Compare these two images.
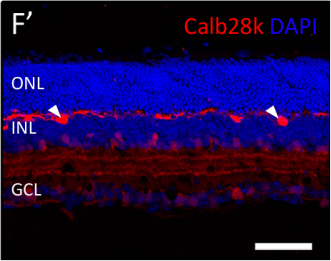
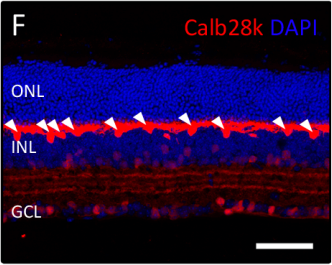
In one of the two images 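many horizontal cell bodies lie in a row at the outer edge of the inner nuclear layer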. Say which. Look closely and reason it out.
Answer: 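First image: only two red cell bodies are marked along the outer edge of the inner nuclear layer. Second image: about a dozen red cell bodies are spaced along the outer edge of the inner nuclear layer.
Conclusion: the second image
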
